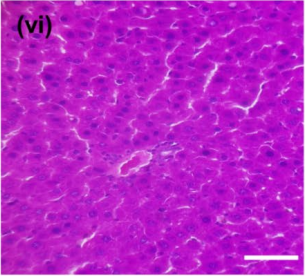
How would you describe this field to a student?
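Liver parenchyma made of hepatocytes arranged in regular cords, with narrow sinusoids appearing as thin white clefts between them. A small vessel lies near the middle of the field.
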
